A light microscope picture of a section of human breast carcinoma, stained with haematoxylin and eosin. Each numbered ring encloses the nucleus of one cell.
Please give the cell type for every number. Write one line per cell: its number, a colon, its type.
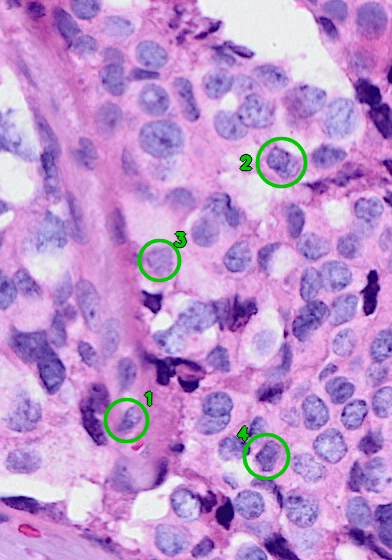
1: endothelial cell
2: carcinoma cell
3: carcinoma cell
4: carcinoma cell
